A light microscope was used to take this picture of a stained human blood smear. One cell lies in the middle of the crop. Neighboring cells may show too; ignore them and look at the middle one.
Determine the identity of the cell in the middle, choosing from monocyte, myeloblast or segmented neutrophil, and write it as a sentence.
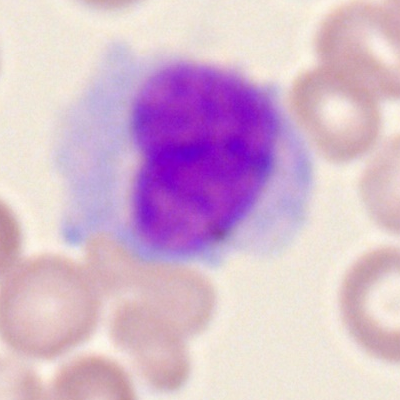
By classification, the middle cell of this crop is a monocyte.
